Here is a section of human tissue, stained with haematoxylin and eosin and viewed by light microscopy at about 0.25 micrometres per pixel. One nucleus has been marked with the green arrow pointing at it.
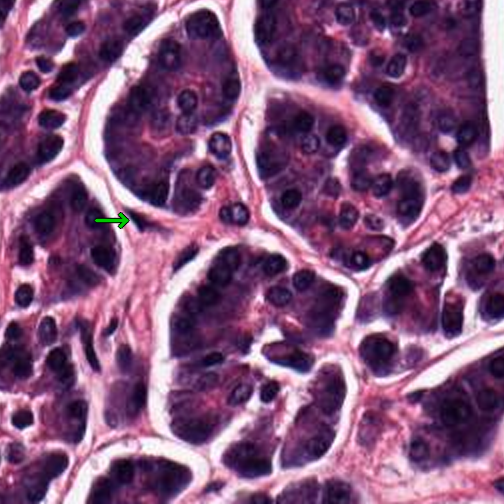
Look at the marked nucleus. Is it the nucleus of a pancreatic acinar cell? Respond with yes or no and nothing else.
no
